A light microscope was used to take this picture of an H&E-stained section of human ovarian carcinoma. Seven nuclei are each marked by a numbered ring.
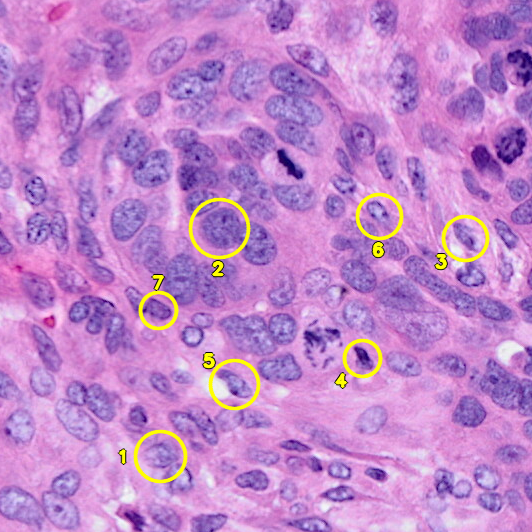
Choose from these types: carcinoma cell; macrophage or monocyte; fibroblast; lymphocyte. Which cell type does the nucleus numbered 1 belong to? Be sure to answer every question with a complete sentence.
In the tissue shown, cell 1 is a fibroblast.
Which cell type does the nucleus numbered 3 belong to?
The cell marked with number 3 is a fibroblast.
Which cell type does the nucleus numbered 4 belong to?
Number 4 among the marked cells is a lymphocyte.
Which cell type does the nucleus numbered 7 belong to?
The marked cell with the number 7 is recognised as a macrophage or monocyte.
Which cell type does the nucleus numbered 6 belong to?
The cell assigned the number 6 is a fibroblast.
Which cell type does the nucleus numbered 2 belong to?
Numbered cell 2 is a carcinoma cell in this tissue section.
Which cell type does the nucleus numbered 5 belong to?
Looking at the numbered marks, cell 5 is a fibroblast.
